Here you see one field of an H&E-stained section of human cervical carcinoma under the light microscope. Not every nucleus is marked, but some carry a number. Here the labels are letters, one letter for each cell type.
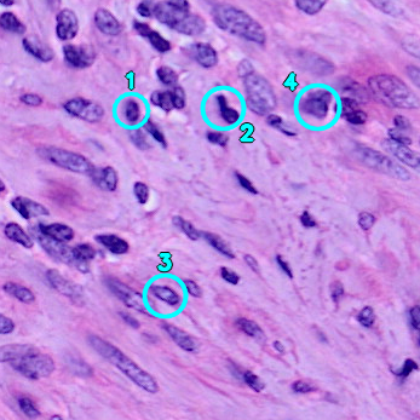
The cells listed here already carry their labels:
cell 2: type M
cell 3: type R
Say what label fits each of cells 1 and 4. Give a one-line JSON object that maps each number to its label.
{"1": "type M", "4": "type M"}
